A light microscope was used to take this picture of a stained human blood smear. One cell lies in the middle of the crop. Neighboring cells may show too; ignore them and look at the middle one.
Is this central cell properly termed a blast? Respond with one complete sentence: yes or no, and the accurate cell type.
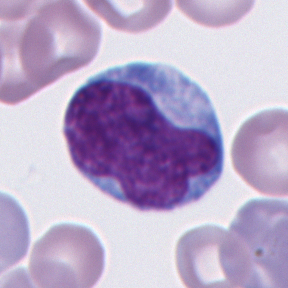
Yes, the cell shown in the middle is a blast.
